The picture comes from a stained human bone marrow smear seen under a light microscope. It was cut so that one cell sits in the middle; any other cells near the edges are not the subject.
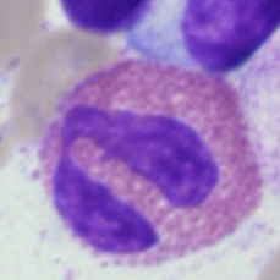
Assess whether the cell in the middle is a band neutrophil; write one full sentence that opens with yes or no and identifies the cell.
No, this cell in the middle is an eosinophil, so it is not a band neutrophil.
